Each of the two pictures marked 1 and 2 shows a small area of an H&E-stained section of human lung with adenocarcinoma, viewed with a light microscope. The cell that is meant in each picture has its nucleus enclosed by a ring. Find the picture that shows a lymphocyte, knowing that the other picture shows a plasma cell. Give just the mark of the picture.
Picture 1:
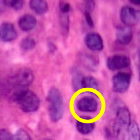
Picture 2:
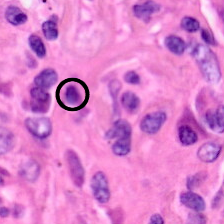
1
